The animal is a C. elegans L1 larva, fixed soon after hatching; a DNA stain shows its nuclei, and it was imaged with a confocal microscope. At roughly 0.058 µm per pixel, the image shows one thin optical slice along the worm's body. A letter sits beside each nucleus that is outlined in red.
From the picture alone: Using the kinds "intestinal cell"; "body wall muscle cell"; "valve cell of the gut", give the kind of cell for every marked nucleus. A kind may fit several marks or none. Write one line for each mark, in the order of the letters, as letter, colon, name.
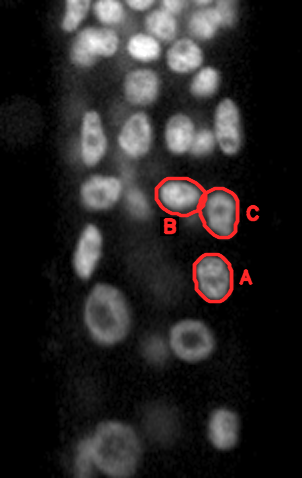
A: body wall muscle cell
B: valve cell of the gut
C: body wall muscle cell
